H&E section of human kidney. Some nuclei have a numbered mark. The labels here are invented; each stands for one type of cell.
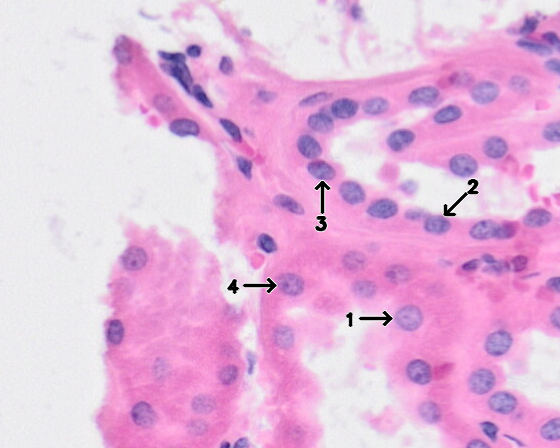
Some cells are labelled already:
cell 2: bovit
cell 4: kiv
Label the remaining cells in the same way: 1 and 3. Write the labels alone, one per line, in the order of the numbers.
kiv
bovit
